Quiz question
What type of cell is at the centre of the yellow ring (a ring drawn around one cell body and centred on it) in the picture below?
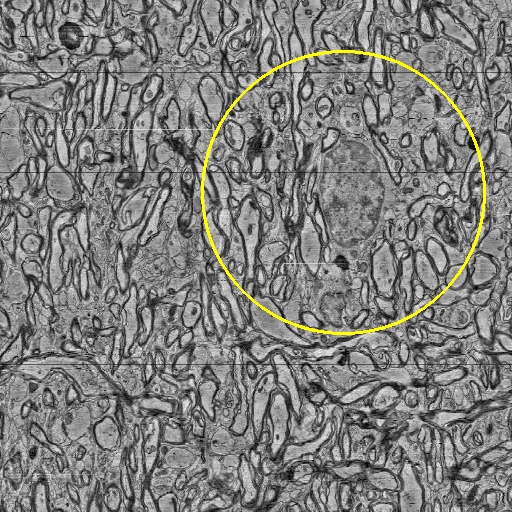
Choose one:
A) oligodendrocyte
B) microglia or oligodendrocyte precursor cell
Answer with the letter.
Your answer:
A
